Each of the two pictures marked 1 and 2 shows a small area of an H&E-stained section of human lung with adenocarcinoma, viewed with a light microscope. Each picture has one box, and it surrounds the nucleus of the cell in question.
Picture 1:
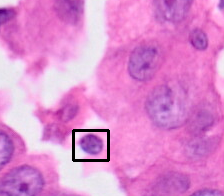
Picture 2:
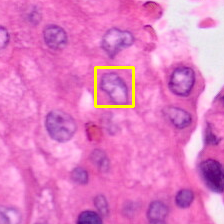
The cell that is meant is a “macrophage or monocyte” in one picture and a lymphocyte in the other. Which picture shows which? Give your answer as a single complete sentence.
It is picture 1 that shows a lymphocyte, and picture 2 that shows a “macrophage or monocyte”.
